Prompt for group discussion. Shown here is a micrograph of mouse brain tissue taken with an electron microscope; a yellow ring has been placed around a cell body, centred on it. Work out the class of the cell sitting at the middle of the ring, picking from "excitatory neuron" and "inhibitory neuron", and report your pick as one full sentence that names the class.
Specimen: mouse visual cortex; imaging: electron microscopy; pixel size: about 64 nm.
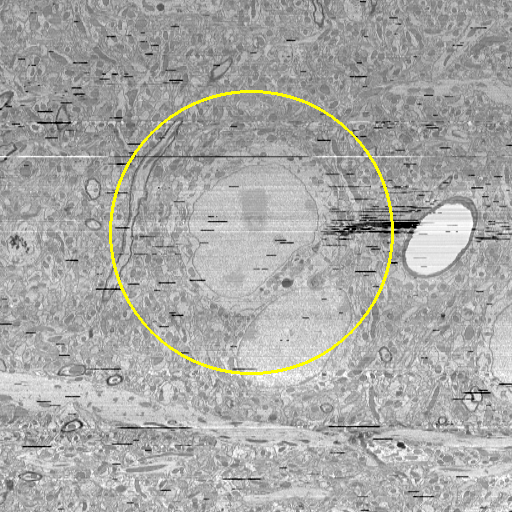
The cell sitting at the middle of the yellow ring is an excitatory neuron.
